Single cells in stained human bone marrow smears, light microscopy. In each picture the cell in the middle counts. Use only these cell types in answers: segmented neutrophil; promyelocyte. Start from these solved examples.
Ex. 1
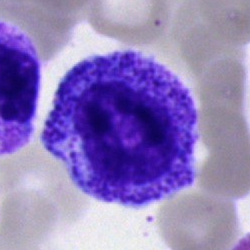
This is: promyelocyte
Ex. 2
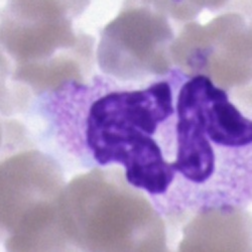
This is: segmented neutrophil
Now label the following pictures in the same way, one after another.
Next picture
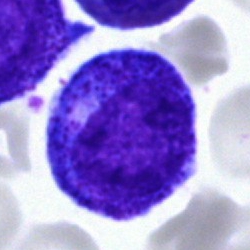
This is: promyelocyte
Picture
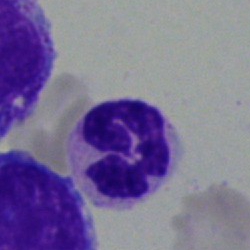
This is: segmented neutrophil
